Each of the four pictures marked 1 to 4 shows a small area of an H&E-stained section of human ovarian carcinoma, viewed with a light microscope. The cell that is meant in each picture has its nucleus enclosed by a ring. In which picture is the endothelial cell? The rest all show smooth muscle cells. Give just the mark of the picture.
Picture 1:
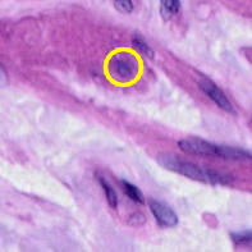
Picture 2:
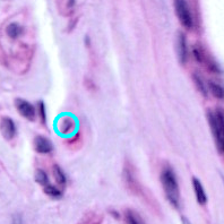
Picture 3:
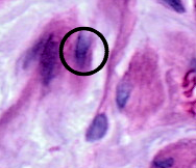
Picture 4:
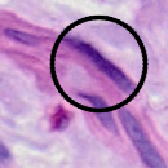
2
